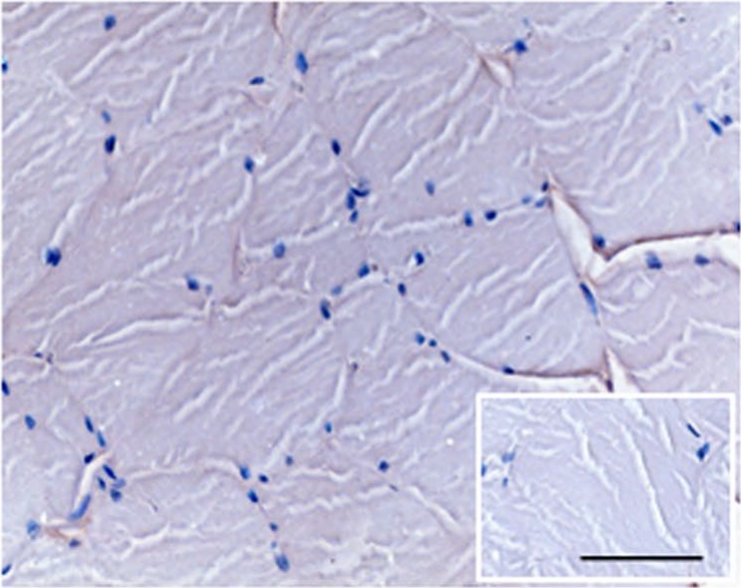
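Skeletal muscle cut across its fibres, showing large polygonal fibres packed tightly together and separated by thin clefts of connective tissue. The fibres are pale purple-grey and uniform, with fine wavy folds running across them from sectioning. Small, elongated, dark blue nuclei sit at the periphery of the fibres and in the spaces between them; no nuclei lie at the fibre centres. No brown deposits are visible in the fibres. The inset shows the same pale, unstained appearance.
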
